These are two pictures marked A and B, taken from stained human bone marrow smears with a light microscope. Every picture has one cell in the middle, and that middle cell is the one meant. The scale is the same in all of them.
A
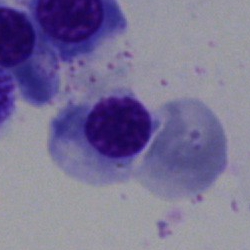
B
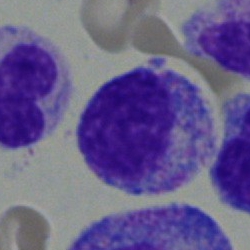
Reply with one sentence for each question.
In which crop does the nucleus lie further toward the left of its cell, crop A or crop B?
Seen within its cell, the nucleus in crop B lies further toward the left.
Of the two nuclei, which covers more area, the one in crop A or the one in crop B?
The nucleus in crop B is larger, with about 2.5 times the area of the one in crop A.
